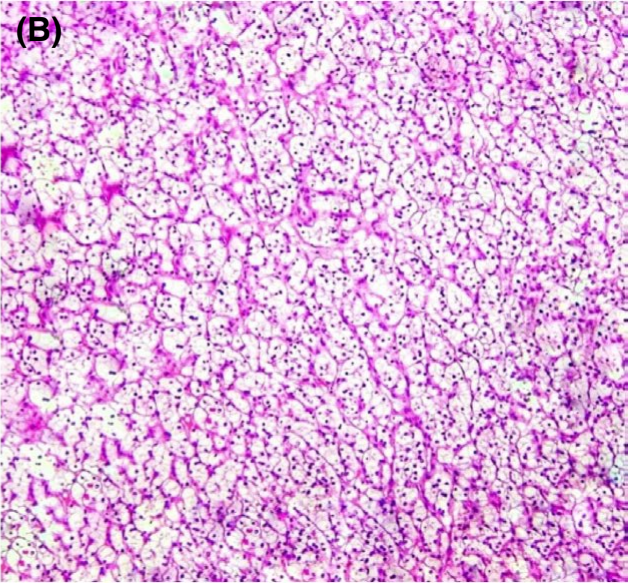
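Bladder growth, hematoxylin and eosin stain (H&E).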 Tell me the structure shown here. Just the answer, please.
Nests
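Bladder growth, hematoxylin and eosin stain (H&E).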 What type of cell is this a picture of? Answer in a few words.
Epithelial cells with clear cytoplasm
